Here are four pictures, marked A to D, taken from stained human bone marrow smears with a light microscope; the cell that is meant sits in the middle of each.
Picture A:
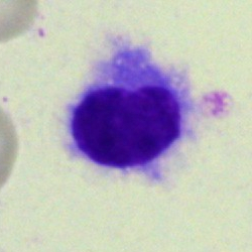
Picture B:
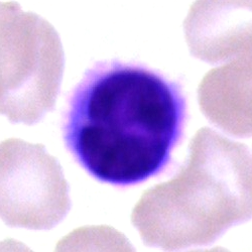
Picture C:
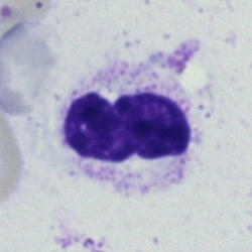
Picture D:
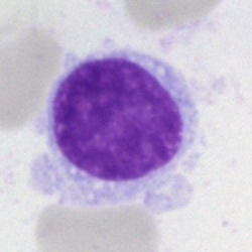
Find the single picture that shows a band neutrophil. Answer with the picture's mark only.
C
